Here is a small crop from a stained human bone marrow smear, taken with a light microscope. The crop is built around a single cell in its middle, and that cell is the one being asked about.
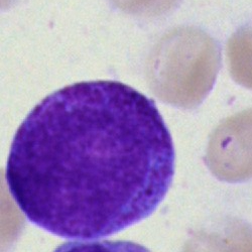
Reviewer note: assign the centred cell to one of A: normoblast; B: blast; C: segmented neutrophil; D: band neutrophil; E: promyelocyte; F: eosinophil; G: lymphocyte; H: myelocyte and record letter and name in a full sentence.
As the central cell is a promyelocyte, option E is correct.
